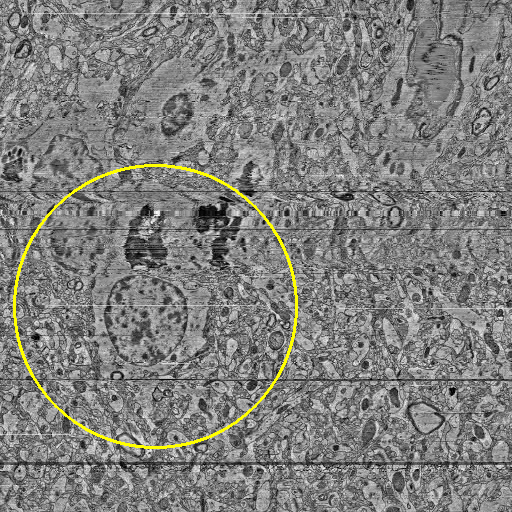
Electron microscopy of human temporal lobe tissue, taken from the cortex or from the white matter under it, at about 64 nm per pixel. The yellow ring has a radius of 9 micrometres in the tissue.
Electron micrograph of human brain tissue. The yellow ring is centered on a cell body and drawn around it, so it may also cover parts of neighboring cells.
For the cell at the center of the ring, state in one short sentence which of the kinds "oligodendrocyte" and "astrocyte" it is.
This ring is centered on an astrocyte.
